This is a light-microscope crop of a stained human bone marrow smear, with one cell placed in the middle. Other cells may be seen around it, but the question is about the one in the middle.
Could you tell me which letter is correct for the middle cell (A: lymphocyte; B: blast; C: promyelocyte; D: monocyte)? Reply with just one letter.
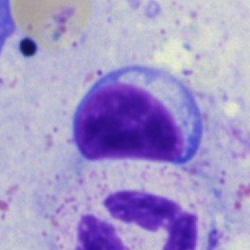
A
